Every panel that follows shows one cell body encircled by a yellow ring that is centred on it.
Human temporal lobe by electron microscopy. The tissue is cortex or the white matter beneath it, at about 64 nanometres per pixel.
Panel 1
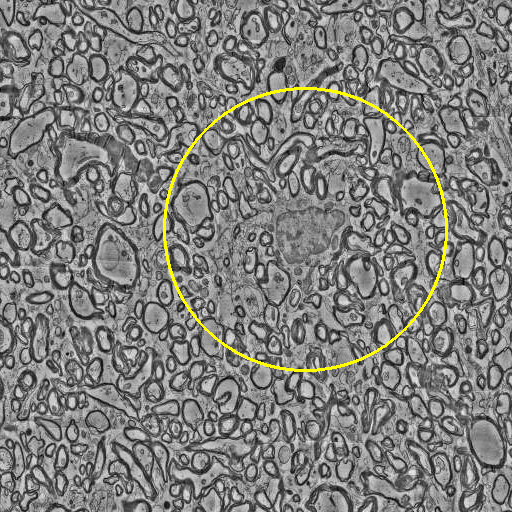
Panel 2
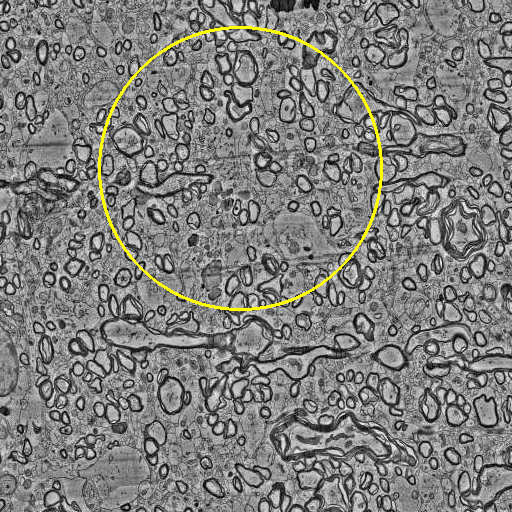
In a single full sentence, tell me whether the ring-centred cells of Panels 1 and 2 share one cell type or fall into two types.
In Panel 1 and Panel 2, the cells at the ring centres fall into two types.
